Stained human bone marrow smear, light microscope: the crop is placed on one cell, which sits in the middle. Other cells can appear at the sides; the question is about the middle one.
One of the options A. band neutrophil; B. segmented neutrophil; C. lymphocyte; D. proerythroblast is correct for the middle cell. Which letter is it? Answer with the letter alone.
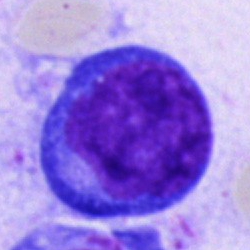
D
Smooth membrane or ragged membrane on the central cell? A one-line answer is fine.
A smooth, projection-free outline is what this cell has.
